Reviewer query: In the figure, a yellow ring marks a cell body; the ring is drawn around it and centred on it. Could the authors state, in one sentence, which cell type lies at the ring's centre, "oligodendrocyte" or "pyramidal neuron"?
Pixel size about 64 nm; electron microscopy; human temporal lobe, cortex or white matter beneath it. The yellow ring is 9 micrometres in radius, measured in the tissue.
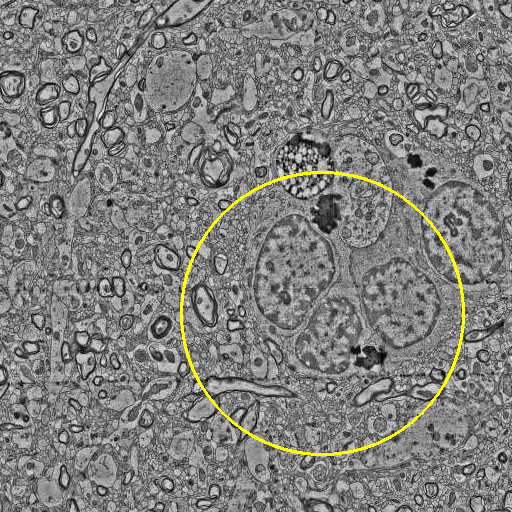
The ring is centred on an oligodendrocyte.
